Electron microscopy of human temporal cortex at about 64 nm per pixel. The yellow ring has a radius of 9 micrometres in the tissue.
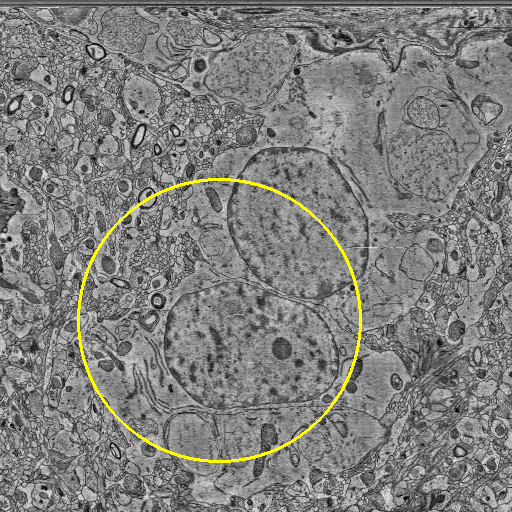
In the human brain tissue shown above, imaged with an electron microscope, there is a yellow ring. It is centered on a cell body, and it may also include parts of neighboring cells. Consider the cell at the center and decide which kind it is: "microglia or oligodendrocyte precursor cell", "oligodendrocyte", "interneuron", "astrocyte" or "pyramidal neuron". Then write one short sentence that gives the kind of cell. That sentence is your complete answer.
This centered cell body is that of an astrocyte.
